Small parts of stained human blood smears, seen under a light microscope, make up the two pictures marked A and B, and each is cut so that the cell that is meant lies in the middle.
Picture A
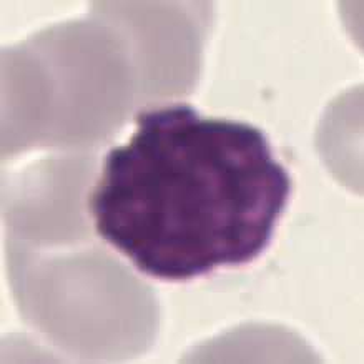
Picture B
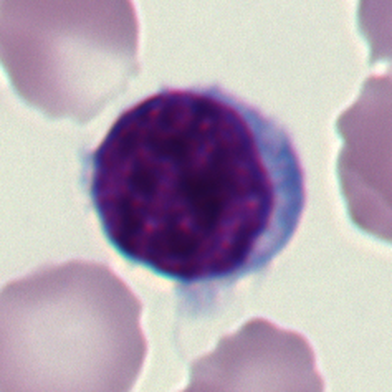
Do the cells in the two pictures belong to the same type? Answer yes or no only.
no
